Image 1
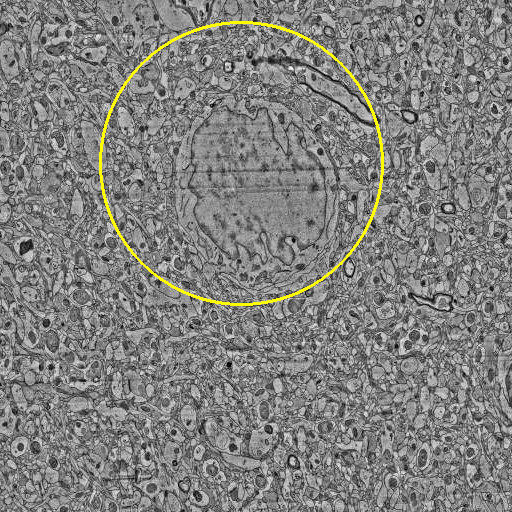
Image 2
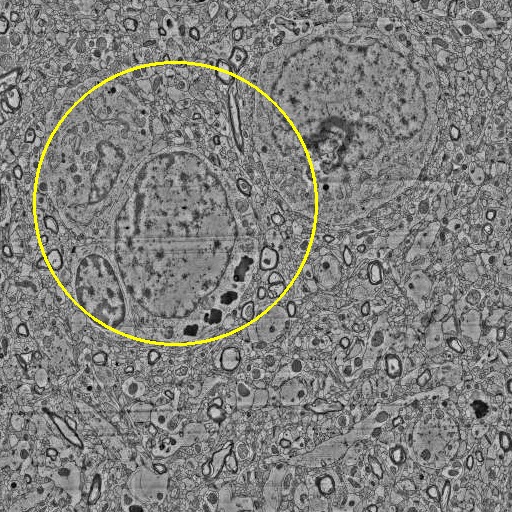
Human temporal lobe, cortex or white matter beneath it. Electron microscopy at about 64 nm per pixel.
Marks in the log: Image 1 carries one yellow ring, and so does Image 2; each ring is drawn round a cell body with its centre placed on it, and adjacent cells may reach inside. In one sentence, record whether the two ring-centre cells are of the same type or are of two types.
The two cells at the ring centres, one in each image, are of the same type.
